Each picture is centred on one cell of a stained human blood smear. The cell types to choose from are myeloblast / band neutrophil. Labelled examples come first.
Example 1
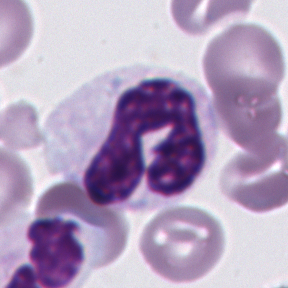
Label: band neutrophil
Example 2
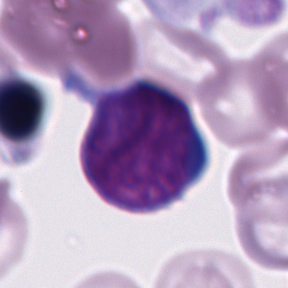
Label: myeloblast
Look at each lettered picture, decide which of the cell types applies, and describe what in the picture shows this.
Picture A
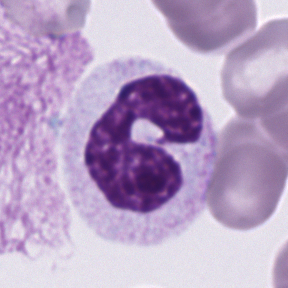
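band neutrophil. Evidence: The nucleus is a single unsegmented band curved around a small clear central space.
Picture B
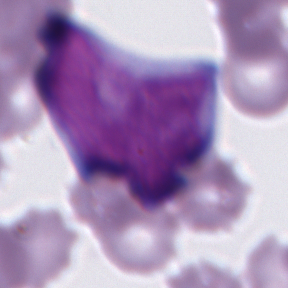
myeloblast. Evidence: The purple nuclear material fills the whole outline of the cell.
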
